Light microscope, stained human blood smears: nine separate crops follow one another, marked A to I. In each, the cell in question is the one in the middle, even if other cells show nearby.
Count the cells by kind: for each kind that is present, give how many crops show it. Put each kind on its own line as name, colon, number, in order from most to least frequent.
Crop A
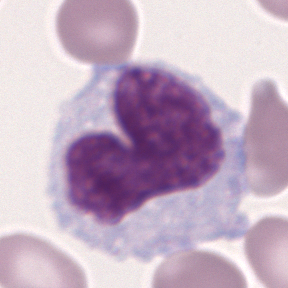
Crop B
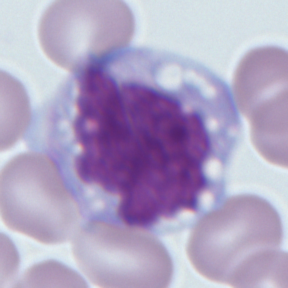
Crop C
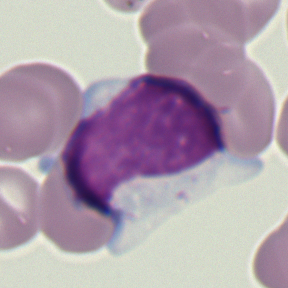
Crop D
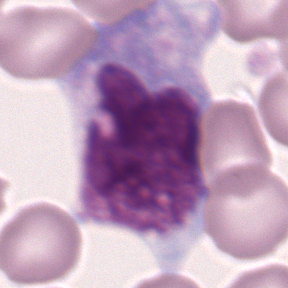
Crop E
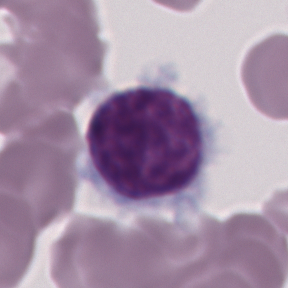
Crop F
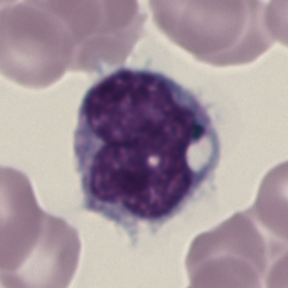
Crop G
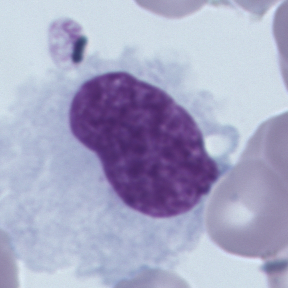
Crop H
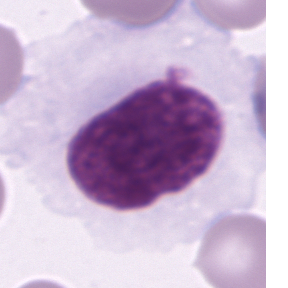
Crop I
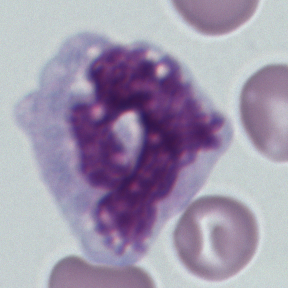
monocyte: 5
hairy cell: 3
large granular lymphocyte: 1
